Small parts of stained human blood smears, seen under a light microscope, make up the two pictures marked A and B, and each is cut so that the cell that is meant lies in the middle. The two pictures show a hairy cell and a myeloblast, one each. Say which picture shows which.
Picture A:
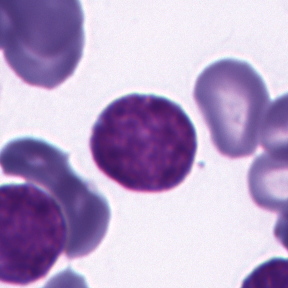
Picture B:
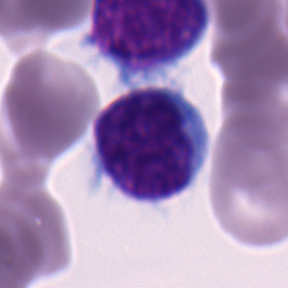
A: myeloblast
B: hairy cell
